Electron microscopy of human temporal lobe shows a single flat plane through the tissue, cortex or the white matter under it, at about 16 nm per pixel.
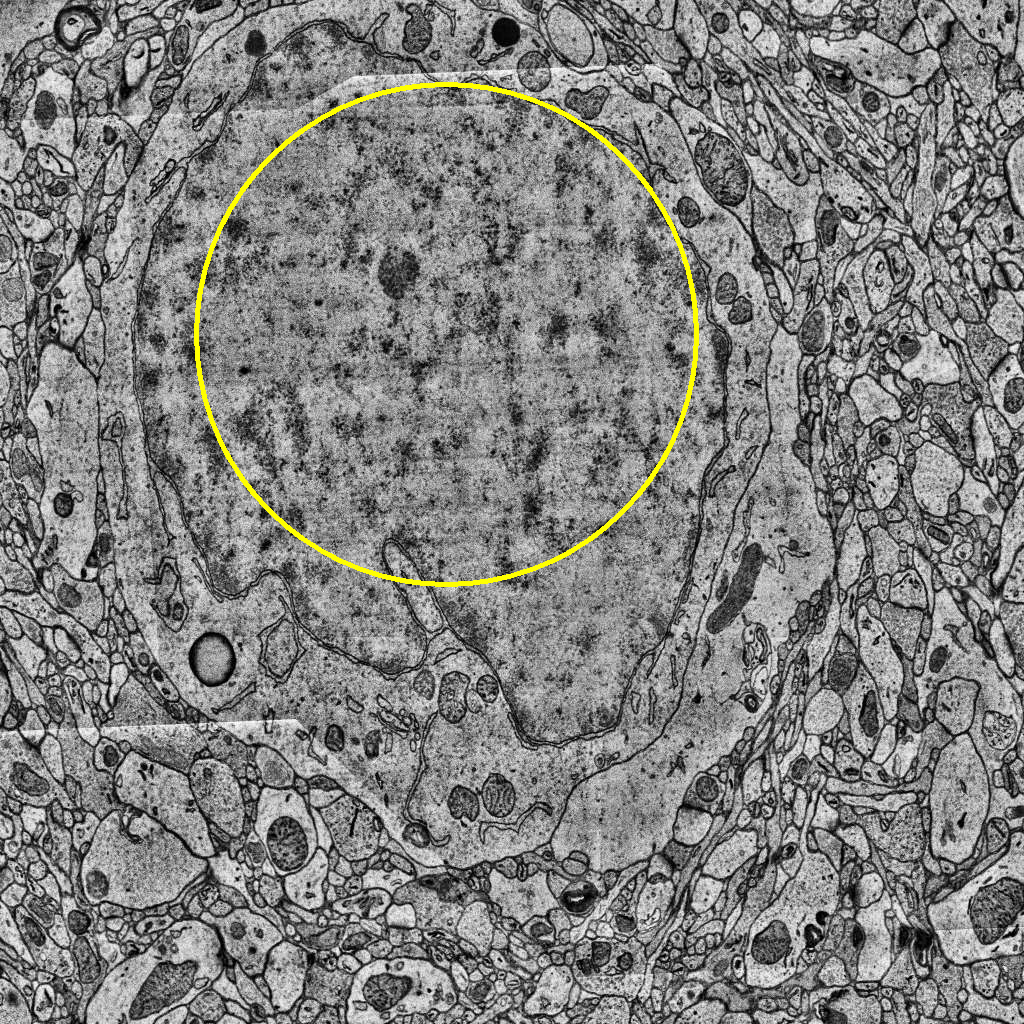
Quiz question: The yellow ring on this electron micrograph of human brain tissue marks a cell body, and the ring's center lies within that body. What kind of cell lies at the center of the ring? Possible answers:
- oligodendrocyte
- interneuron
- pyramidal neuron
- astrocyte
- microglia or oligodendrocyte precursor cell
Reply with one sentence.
The ring's center lies on an interneuron.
